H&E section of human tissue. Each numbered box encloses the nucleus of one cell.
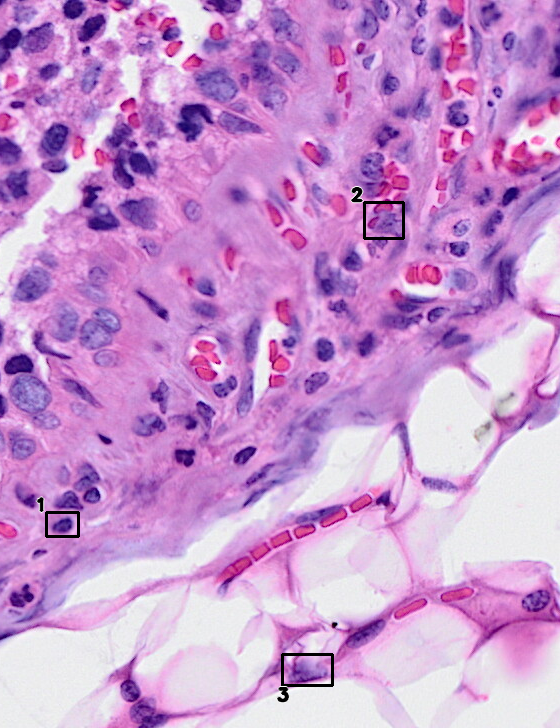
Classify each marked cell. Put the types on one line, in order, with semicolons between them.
mast cell; endothelial cell; fibroblast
